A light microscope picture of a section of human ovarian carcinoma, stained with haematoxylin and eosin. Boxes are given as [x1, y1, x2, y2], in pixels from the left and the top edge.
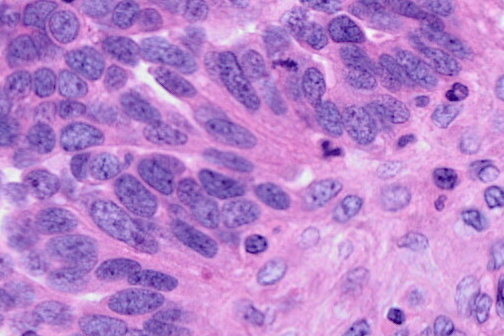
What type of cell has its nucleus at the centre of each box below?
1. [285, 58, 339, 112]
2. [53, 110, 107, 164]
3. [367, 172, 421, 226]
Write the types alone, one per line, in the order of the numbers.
carcinoma cell
carcinoma cell
fibroblast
